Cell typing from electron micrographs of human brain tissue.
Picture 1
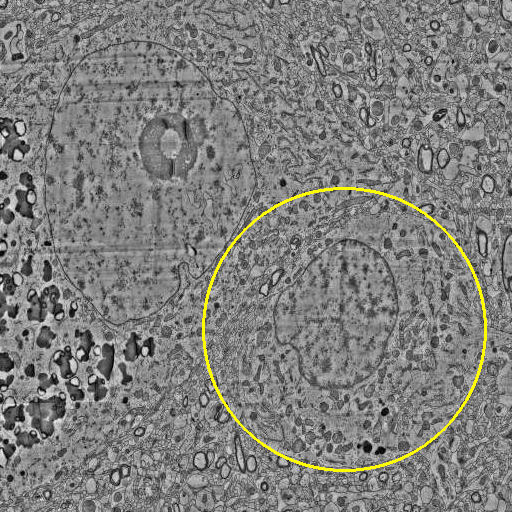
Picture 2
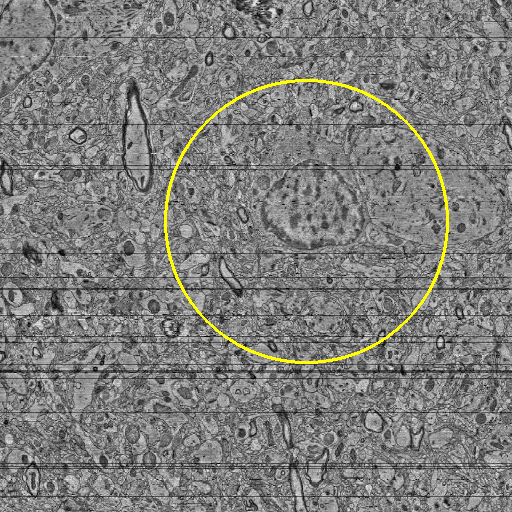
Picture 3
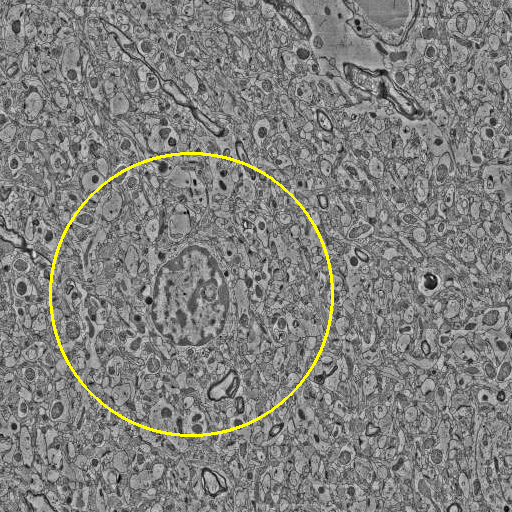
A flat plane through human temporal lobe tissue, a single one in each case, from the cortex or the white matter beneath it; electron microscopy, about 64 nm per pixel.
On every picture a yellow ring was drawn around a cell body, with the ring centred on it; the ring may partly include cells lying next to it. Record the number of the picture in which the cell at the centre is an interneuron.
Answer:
1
